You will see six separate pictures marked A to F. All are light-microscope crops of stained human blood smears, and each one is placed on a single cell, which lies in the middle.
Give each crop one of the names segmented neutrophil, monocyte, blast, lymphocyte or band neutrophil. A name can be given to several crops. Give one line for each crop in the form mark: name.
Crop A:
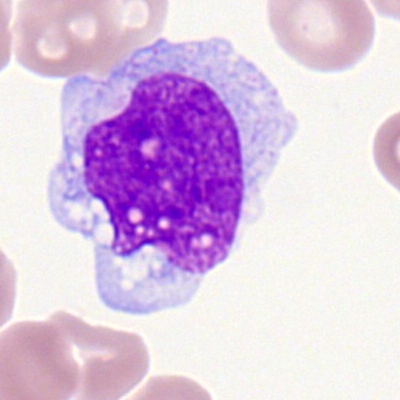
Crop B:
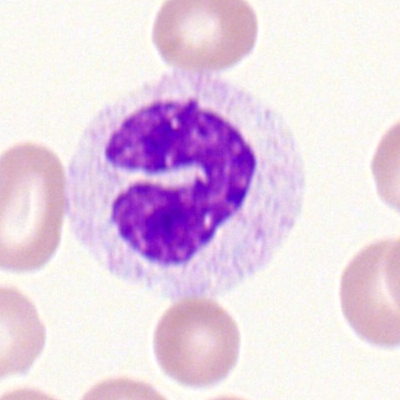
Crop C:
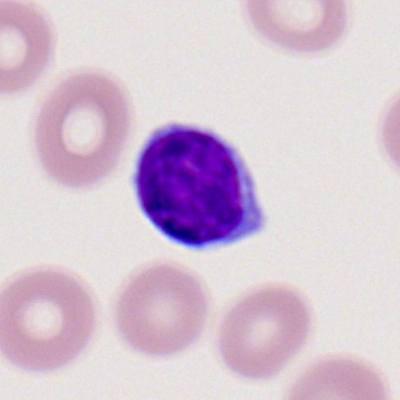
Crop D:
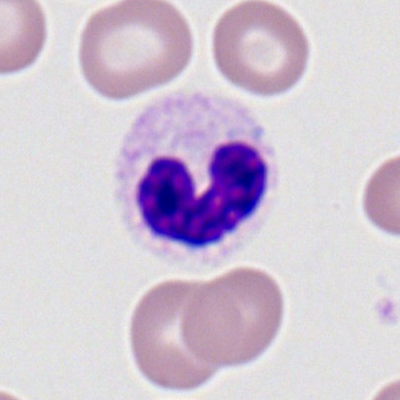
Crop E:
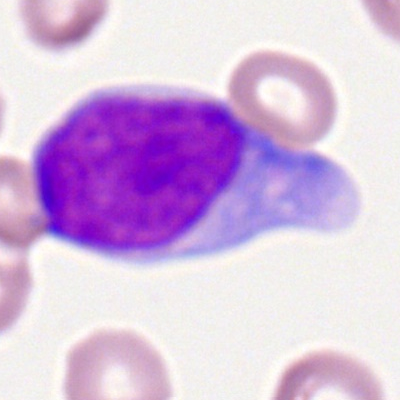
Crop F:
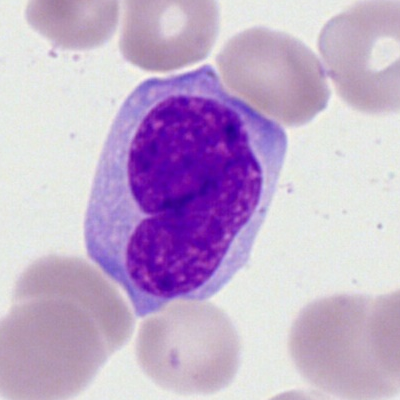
A: monocyte
B: band neutrophil
C: lymphocyte
D: band neutrophil
E: blast
F: blast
